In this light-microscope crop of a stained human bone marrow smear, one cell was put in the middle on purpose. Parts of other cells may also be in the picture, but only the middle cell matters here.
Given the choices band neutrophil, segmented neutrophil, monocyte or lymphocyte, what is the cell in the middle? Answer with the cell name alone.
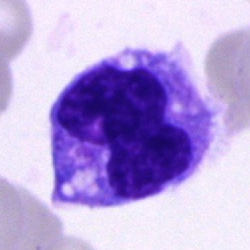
monocyte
